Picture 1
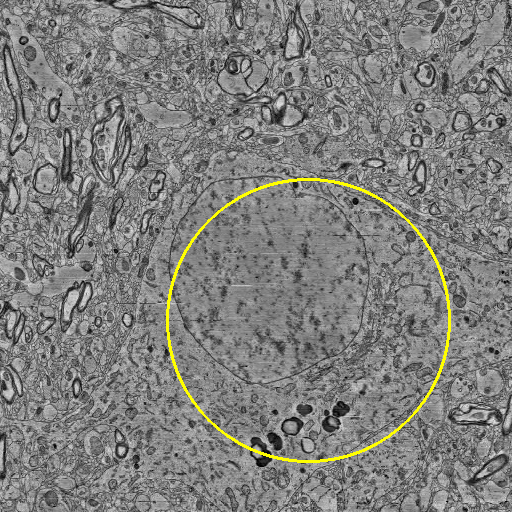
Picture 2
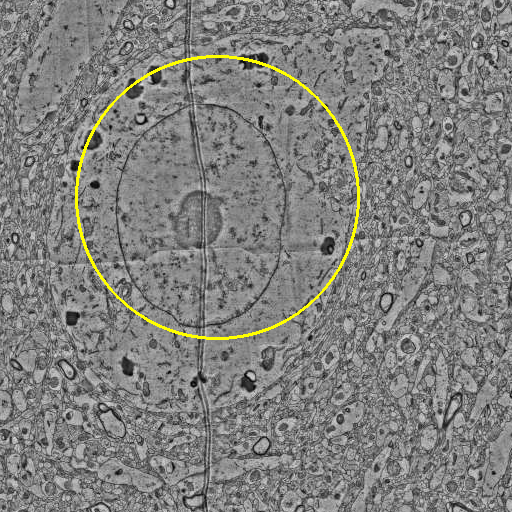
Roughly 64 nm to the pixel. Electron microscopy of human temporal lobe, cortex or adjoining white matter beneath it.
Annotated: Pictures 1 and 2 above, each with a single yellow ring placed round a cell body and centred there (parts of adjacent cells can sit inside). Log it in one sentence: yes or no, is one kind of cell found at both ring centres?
Yes, the ring centres of the two pictures hold cells of one kind.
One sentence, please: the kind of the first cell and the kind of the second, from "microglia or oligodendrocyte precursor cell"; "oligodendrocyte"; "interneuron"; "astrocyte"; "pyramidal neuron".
In each picture the ringed cell is a pyramidal neuron.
